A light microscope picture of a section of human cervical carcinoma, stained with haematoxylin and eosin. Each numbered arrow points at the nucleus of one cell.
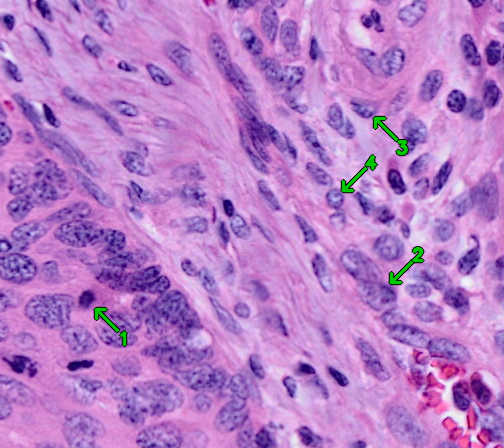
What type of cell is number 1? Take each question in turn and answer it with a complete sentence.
The nucleus labelled 1 belongs to a squamous carcinoma cell.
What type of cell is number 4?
The cell that goes by number 4 is a smooth muscle cell.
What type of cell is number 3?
Denoted by the label 3 in the section is a smooth muscle cell.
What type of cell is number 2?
The numeral 2 marks an endothelial cell in this section.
